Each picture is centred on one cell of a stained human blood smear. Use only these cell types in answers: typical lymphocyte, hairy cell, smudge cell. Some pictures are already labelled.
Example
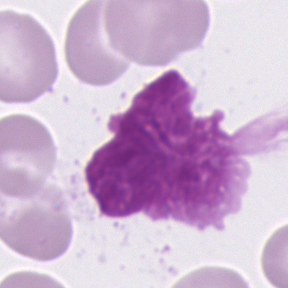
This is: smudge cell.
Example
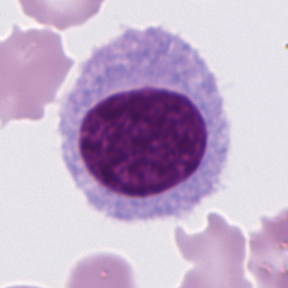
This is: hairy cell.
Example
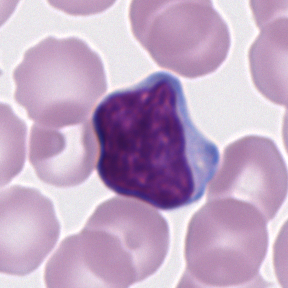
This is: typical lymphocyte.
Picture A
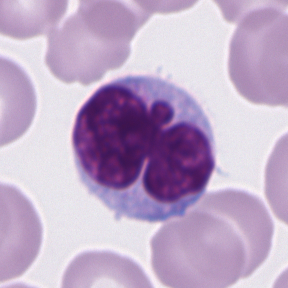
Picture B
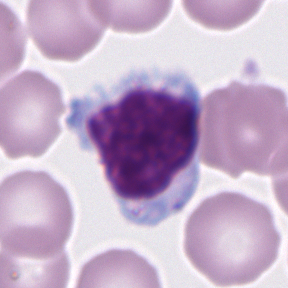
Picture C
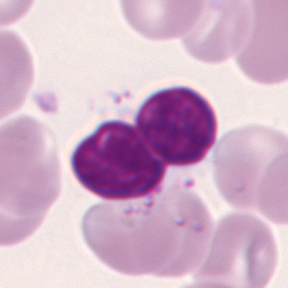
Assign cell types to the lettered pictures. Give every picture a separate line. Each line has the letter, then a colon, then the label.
A: typical lymphocyte.
B: typical lymphocyte.
C: smudge cell.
